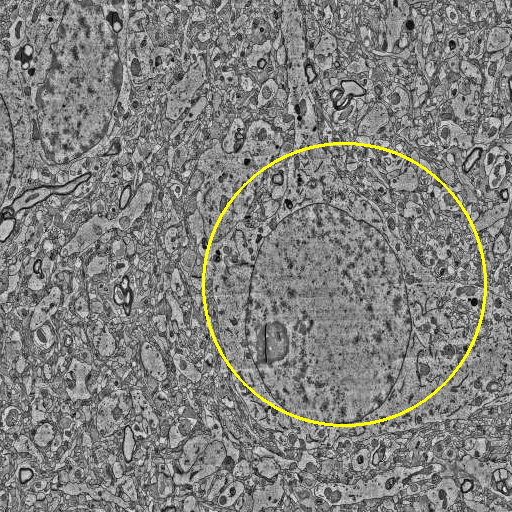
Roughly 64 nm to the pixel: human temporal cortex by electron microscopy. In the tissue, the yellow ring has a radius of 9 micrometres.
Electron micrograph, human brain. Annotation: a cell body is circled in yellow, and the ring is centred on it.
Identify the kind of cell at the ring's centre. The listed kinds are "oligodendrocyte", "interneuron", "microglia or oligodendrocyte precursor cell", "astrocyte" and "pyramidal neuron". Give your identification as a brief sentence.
The circled cell body is that of a pyramidal neuron.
